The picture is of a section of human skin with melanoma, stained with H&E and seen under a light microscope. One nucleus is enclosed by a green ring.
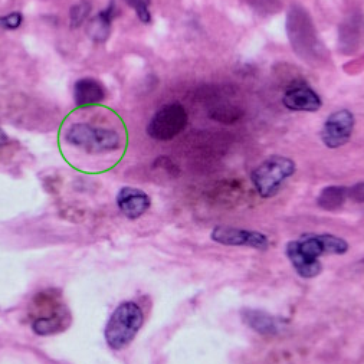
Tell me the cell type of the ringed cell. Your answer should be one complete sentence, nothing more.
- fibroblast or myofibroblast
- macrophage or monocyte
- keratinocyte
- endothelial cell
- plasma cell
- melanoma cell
The cell type of the ringed cell is that of a macrophage or monocyte.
